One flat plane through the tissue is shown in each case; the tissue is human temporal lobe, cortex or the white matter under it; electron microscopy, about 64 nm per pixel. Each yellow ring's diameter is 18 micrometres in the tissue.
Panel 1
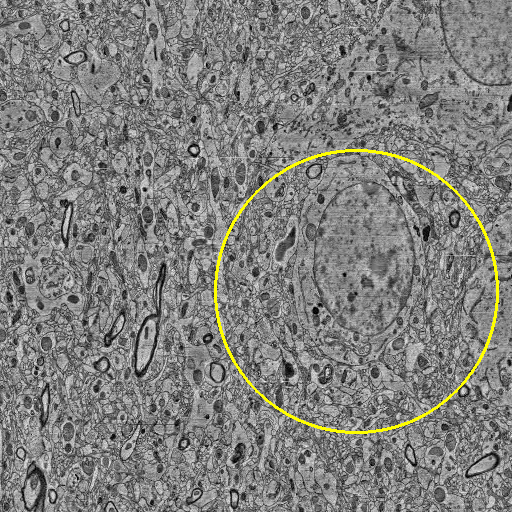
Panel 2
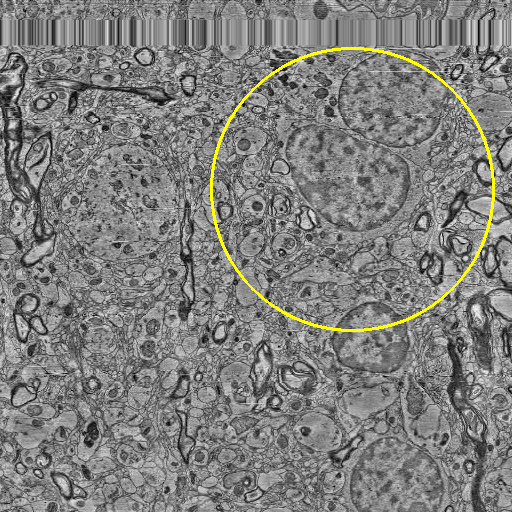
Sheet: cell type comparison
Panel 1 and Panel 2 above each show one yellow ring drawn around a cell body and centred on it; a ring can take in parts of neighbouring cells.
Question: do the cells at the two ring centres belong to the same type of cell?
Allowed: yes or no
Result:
no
